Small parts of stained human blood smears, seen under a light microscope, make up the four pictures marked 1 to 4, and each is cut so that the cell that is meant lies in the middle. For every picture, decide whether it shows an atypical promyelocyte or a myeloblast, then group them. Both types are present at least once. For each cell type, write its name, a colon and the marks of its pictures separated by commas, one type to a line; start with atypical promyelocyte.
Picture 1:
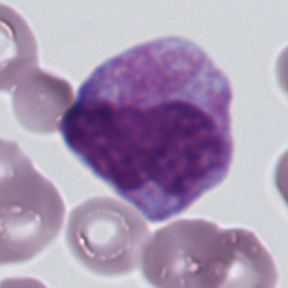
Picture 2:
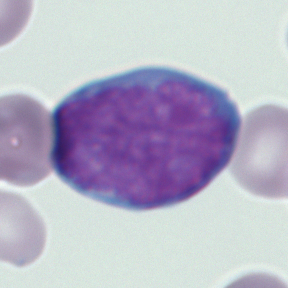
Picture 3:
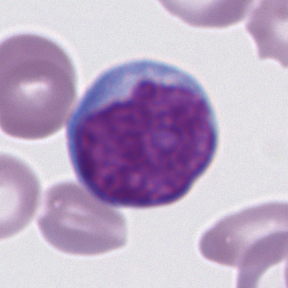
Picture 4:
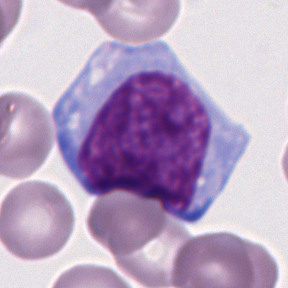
atypical promyelocyte: 1
myeloblast: 2, 3, 4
